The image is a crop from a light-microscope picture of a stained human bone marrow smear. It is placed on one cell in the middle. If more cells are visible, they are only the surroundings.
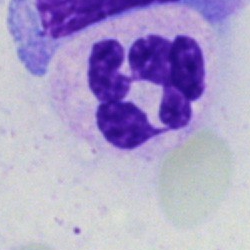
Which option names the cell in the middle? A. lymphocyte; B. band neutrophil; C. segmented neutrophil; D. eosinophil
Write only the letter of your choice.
C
